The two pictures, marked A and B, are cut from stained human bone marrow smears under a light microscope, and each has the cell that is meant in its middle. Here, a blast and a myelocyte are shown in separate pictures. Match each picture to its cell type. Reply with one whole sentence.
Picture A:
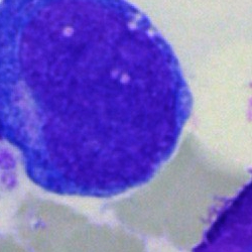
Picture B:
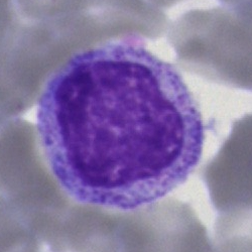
The cell in picture A is a blast, and the one in picture B is a myelocyte.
